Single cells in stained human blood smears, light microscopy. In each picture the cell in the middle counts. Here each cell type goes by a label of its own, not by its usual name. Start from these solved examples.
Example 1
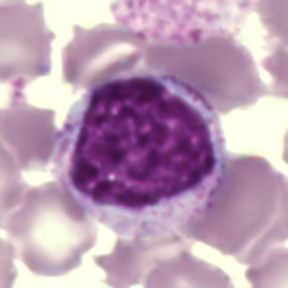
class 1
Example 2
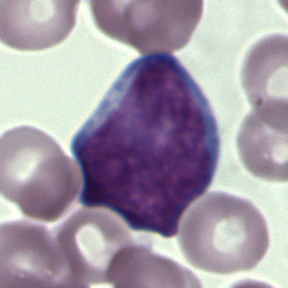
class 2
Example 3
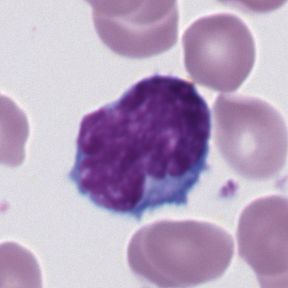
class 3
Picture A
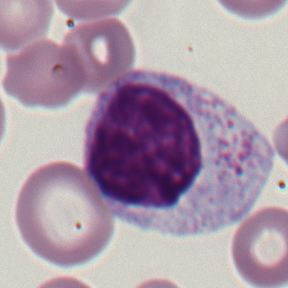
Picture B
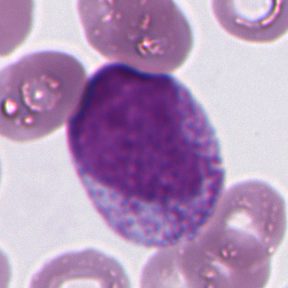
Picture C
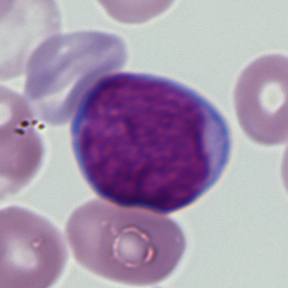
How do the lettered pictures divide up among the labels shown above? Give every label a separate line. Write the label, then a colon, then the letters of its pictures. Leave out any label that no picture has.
class 1: A, B
class 2: C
